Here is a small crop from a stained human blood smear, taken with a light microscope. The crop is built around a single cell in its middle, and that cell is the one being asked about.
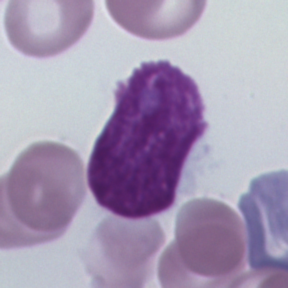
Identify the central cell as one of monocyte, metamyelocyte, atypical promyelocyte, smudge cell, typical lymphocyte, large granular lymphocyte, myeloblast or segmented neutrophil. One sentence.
The central cell shown in this smear crop is a smudge cell.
